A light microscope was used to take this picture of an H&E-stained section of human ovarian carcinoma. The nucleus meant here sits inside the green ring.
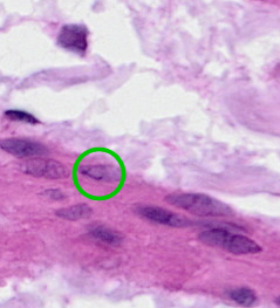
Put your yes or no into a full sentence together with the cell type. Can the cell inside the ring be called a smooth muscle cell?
Yes, the cell inside the ring is a smooth muscle cell by cell type.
